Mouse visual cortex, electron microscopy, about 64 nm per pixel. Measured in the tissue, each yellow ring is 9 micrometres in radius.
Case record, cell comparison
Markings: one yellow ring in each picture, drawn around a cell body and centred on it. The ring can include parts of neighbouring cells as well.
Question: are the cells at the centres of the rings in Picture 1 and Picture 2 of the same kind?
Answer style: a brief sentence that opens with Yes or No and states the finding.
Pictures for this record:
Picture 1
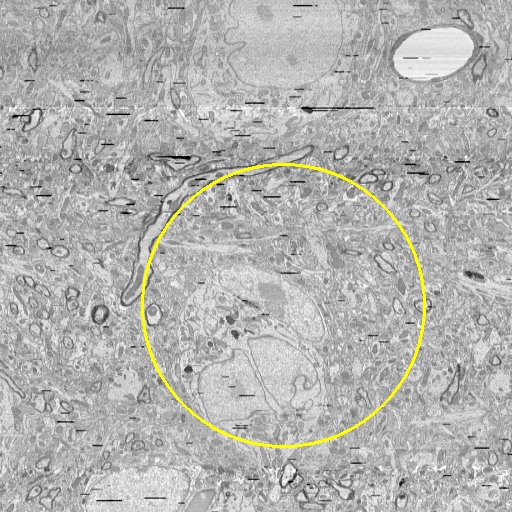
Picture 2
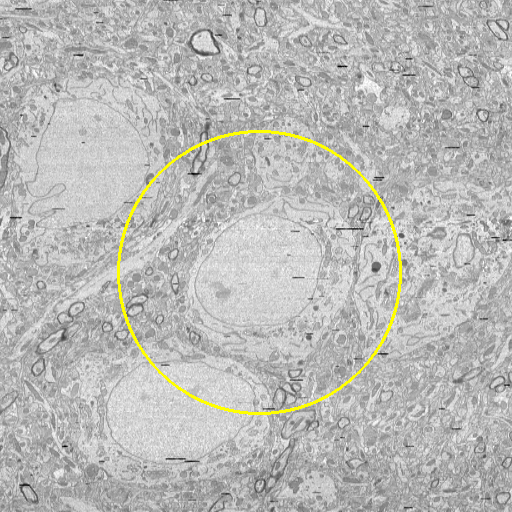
No, the cells in Picture 1 and Picture 2 are of two kinds.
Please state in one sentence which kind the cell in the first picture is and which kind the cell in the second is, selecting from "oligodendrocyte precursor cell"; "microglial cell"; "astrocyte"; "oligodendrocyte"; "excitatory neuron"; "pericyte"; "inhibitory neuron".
The first ringed cell is an oligodendrocyte precursor cell, the second ringed cell an excitatory neuron.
